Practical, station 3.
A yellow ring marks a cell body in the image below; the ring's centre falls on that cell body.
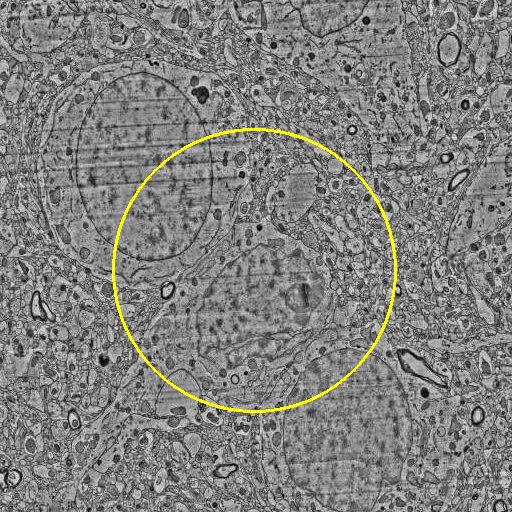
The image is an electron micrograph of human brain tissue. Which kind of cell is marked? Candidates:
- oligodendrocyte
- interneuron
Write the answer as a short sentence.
The marked cell body is that of an interneuron.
